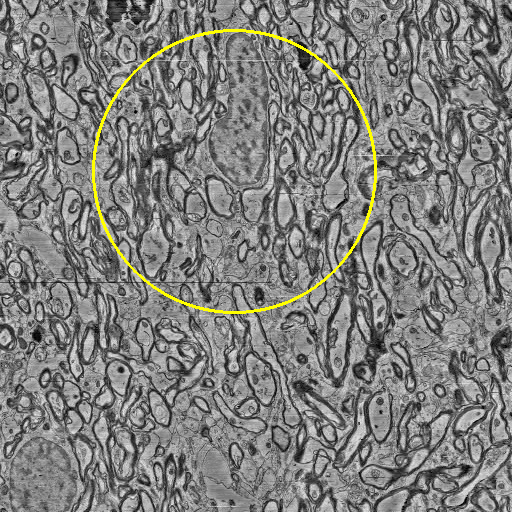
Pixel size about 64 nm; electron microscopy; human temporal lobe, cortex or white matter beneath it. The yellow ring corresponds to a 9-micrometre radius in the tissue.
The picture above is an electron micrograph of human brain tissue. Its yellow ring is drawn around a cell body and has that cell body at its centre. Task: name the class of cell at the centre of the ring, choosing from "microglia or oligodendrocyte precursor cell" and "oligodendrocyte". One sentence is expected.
The ring surrounds the body of a microglial cell or oligodendrocyte precursor cell.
